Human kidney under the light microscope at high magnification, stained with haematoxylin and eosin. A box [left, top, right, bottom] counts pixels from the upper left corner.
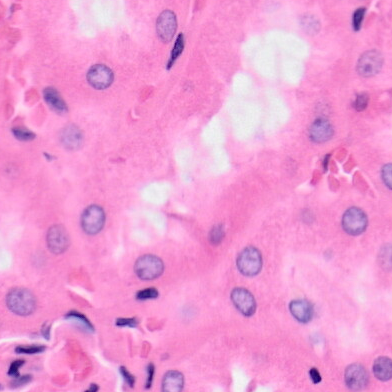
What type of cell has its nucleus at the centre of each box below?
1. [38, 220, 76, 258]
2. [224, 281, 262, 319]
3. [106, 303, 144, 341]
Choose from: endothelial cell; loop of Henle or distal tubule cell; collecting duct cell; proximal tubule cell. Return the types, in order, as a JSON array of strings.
["proximal tubule cell", "proximal tubule cell", "endothelial cell"]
